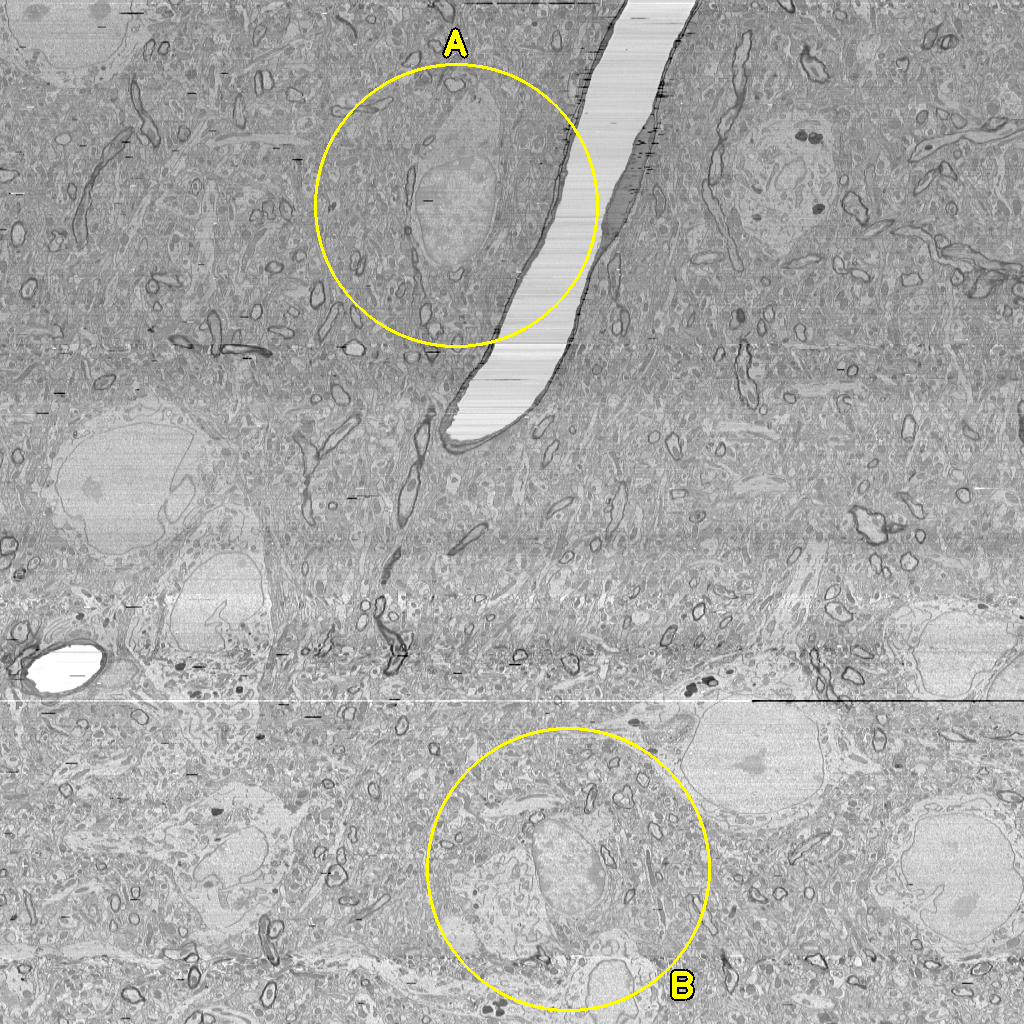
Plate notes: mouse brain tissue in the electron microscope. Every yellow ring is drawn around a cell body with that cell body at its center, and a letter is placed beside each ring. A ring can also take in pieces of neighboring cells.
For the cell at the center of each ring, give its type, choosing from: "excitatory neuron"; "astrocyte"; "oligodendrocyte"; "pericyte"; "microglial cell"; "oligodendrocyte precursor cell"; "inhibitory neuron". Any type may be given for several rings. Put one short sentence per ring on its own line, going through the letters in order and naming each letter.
Ring A shows an oligodendrocyte at the center.
Ring B shows an oligodendrocyte at the center.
